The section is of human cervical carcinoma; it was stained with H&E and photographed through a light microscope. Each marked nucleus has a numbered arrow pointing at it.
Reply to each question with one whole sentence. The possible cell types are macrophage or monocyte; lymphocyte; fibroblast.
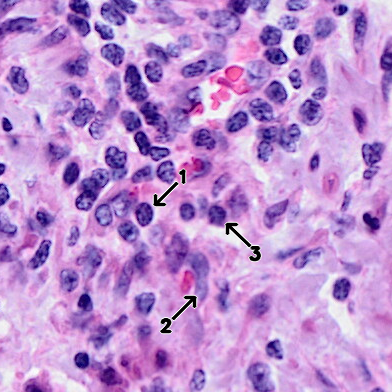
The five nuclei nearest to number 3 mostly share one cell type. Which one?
Macrophages or monocytes make up most of the five nuclei closest to number 3.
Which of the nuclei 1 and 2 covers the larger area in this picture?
Nucleus 1 is larger, with an area about 1.5 times that of nucleus 2.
